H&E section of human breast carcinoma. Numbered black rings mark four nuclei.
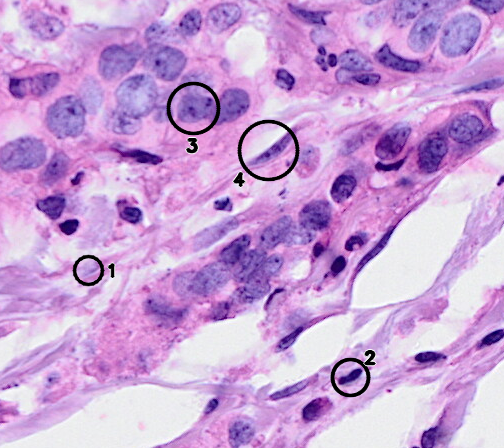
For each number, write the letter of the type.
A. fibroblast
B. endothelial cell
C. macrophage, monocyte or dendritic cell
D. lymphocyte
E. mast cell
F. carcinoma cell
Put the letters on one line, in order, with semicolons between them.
A; D; F; A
